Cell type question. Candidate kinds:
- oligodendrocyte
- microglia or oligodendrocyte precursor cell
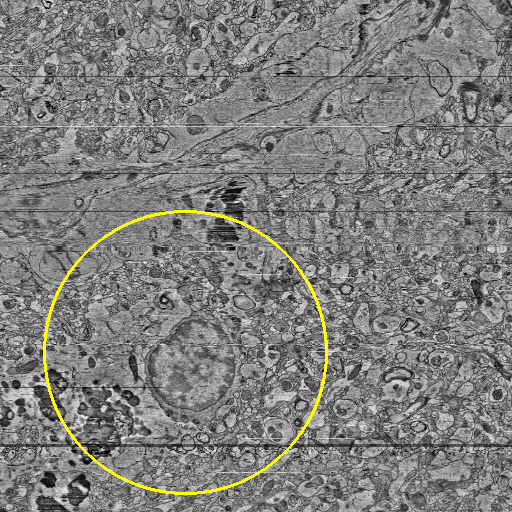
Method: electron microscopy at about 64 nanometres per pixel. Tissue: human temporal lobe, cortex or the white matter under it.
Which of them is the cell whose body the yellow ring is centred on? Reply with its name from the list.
oligodendrocyte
